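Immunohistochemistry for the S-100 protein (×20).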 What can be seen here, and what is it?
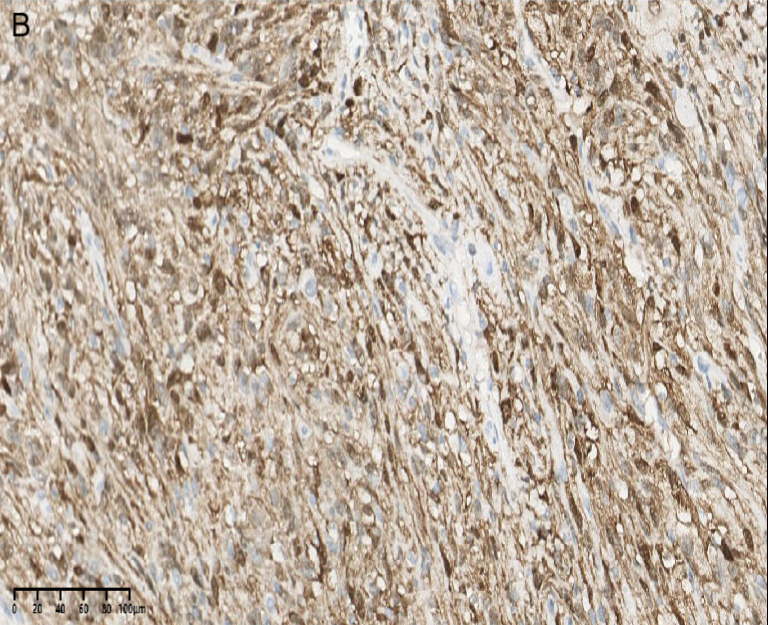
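The section shows a densely cellular tissue of spindle-shaped and rounder cells arranged in long, streaming bundles. A brown stain fills the cytoplasm of most of the cells throughout the field, darker in some than in others, so that the staining appears diffuse rather than patchy. Numerous small clear, bubbly spaces are scattered among the brown-stained cells. A few paler streaks with blue nuclei and little brown stain run obliquely through the tissue.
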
